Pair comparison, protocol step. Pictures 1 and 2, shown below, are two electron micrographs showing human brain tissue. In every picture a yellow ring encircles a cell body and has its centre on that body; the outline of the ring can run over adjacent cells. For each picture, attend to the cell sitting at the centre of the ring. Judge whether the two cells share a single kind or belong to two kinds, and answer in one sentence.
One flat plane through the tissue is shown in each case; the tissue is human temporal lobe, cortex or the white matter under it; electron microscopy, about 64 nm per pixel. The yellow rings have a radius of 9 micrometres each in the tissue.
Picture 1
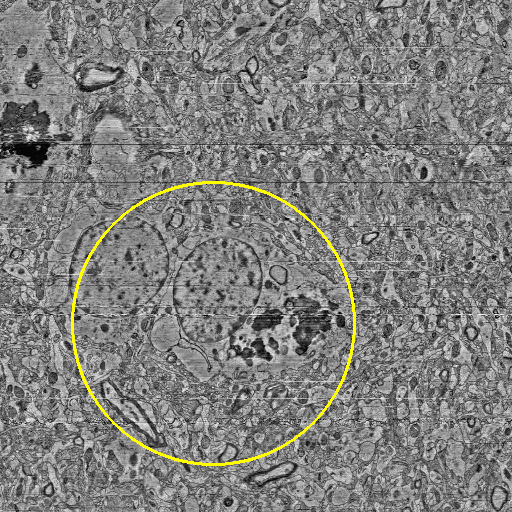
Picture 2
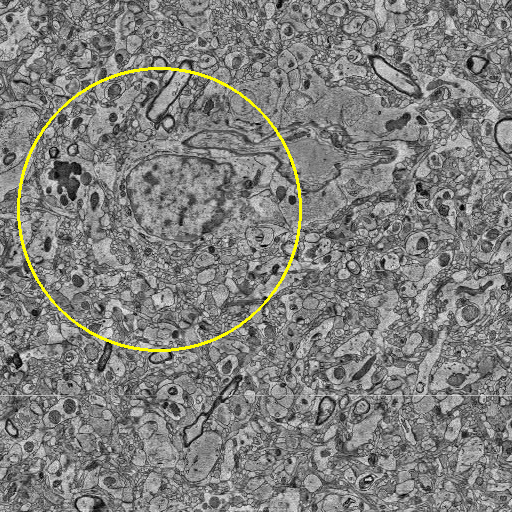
The two cells at the ring centres in Picture 1 and Picture 2 belong to two kinds.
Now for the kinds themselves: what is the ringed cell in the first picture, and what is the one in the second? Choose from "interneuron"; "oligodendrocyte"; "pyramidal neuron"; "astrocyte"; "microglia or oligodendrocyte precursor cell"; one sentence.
Here the first cell is an astrocyte and the second cell is a microglial cell or oligodendrocyte precursor cell.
